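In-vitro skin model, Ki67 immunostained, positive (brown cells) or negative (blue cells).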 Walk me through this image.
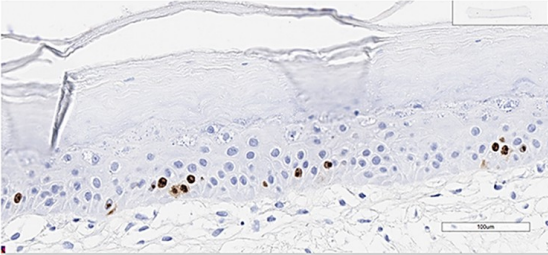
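Over the nucleated layers lies a thick, pale, laminated layer without nuclei, partly lifted and folded at the top. A small number of nuclei are stained dark brown, and these sit mostly in the lower cell layers near the underlying connective tissue. Most of the nuclei in the epidermis are blue only.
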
